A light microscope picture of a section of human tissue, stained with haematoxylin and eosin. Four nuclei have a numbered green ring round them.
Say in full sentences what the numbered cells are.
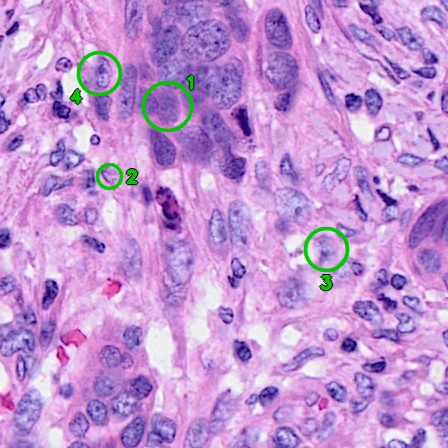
Cell 1 is a carcinoma cell. Cells 2, 3 and 4 are fibroblasts.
